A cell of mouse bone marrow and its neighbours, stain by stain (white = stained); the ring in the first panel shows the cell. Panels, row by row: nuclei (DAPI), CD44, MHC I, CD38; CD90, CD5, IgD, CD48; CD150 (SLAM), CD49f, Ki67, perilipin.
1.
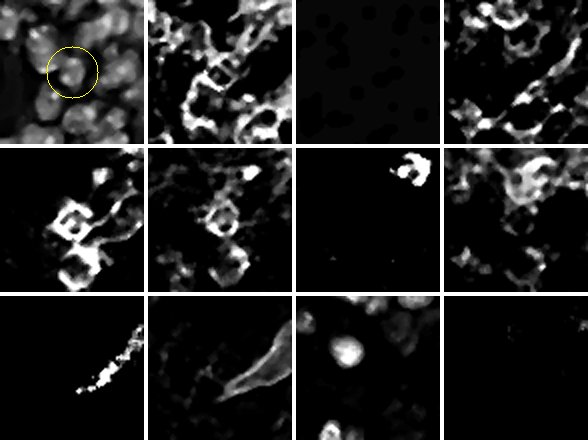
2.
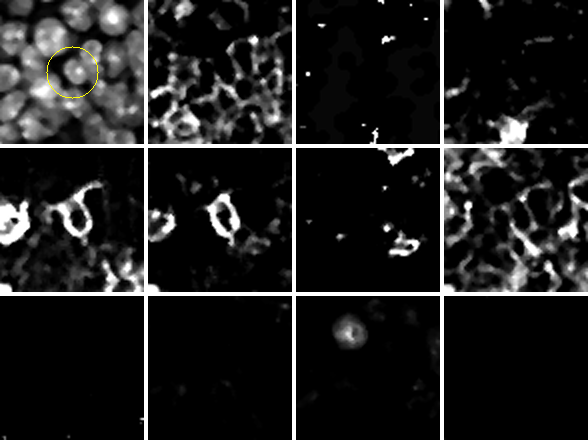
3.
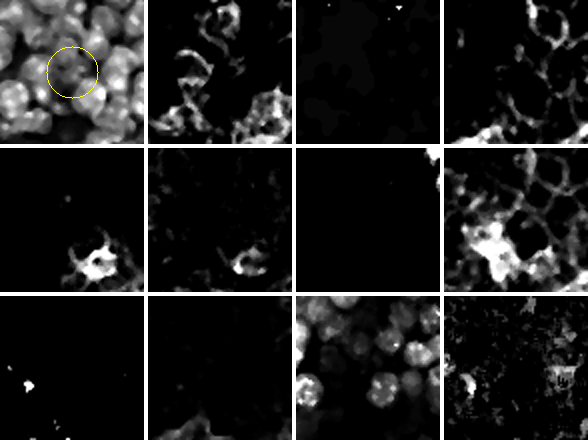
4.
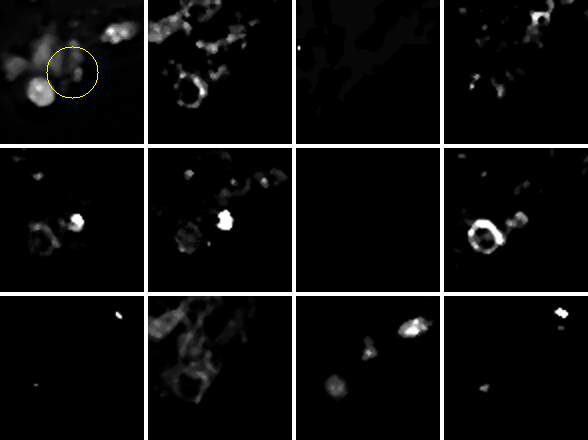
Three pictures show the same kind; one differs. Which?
Picture 3: a monocyte, while the others are T cells.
